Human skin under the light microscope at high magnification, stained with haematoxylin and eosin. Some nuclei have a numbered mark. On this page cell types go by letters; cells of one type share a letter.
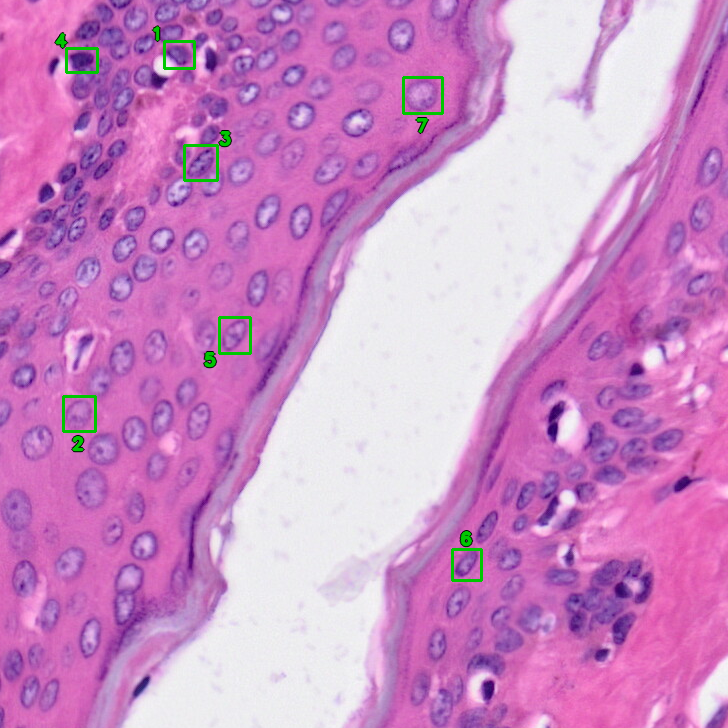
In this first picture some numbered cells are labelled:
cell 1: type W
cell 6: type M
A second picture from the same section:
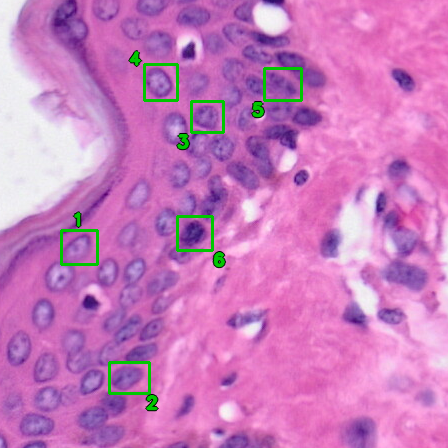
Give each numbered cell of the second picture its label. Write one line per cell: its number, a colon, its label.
1: type M
2: type W
3: type M
4: type M
5: type W
6: type W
